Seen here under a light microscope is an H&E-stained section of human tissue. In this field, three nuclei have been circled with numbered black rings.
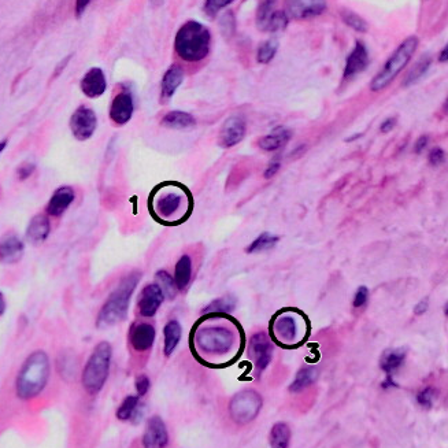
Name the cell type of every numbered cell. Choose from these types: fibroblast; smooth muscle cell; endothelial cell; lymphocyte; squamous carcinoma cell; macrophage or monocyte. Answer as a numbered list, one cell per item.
1. lymphocyte
2. endothelial cell
3. lymphocyte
